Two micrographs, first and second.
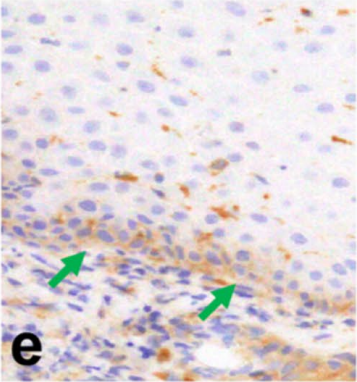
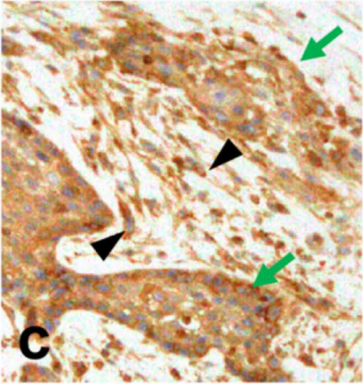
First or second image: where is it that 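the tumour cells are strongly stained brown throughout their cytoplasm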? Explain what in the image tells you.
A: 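The second image. First image: the epithelial cells are mostly blue with only faint brown tinge. Second image: the epithelial nests are diffusely dark brown.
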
